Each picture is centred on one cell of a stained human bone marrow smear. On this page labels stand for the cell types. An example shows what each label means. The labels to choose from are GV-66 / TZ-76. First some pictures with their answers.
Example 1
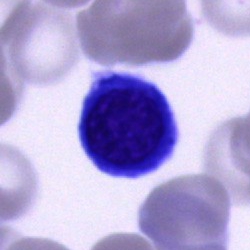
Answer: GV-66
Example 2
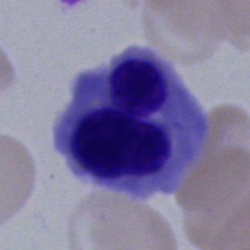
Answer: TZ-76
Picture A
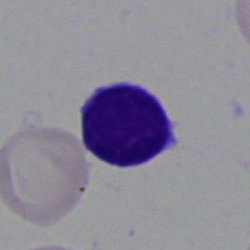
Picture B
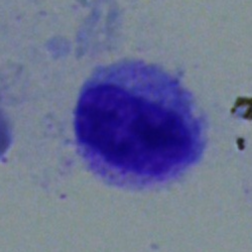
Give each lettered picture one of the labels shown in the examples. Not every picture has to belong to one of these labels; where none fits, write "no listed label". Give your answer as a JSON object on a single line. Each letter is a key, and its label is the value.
{"A": "GV-66", "B": "no listed label"}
